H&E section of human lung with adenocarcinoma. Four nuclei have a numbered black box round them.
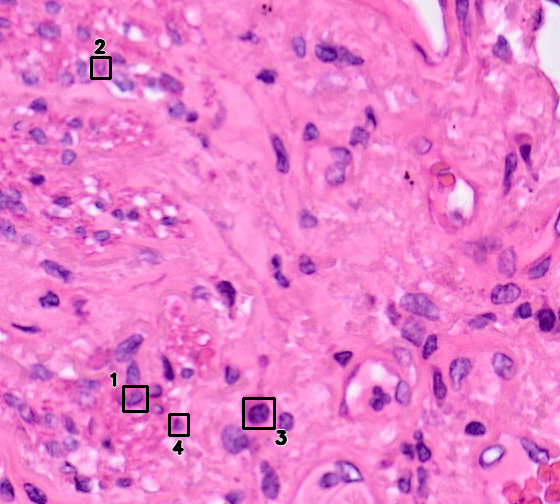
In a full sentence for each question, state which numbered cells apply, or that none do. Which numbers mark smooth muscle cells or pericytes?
Cells 1, 2 and 4 in the section are typed as smooth muscle cells or pericytes.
